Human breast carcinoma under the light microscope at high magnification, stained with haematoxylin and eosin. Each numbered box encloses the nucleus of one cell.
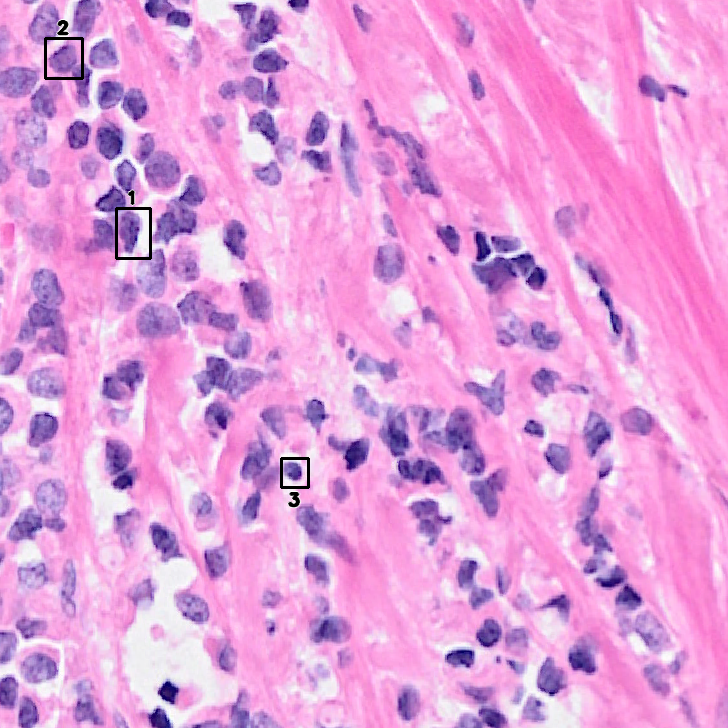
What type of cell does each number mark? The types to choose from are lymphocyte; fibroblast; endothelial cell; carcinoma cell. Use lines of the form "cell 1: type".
cell 1: carcinoma cell
cell 2: carcinoma cell
cell 3: lymphocyte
